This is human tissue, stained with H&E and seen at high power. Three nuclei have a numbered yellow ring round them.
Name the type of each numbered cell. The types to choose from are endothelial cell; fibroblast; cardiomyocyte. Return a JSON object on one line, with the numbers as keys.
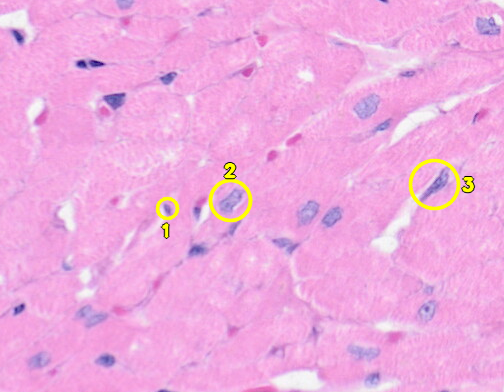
{"1": "endothelial cell", "2": "cardiomyocyte", "3": "endothelial cell"}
